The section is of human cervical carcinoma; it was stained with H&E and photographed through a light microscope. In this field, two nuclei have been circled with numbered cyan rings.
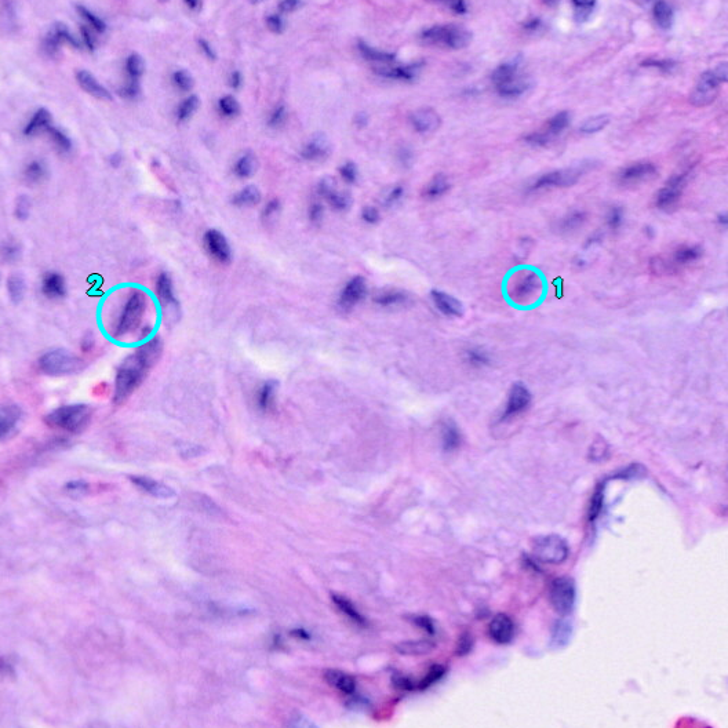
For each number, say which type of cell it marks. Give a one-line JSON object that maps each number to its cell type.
{"1": "smooth muscle cell", "2": "endothelial cell"}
